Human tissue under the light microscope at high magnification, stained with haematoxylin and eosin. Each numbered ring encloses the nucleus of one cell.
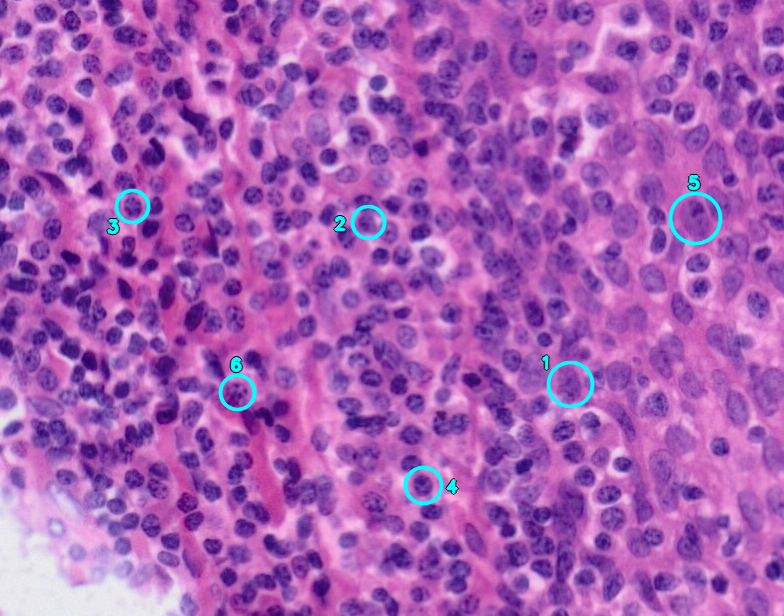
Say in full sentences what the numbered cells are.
Cells 1 and 5 are squamous epithelial cells. Cells 2, 3, 4 and 6 are plasma cells.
